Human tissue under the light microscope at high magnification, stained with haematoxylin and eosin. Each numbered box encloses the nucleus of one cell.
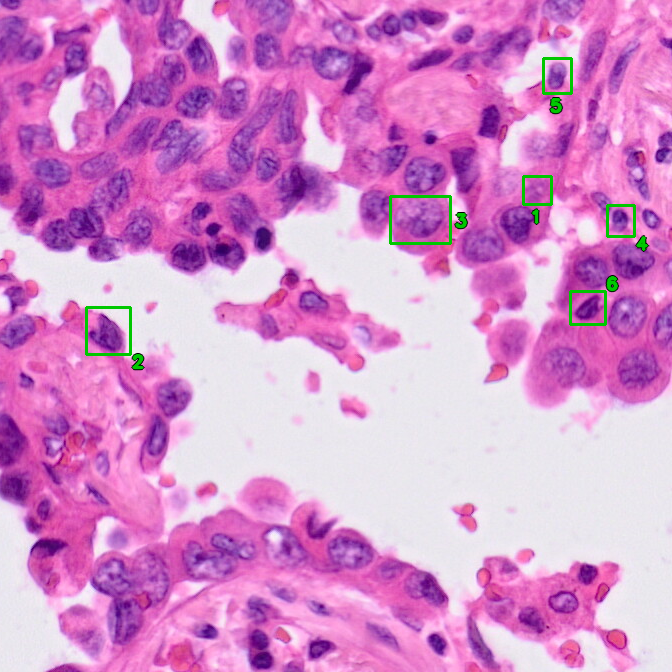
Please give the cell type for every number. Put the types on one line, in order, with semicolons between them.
carcinoma cell; carcinoma cell; carcinoma cell; lymphocyte; lymphocyte; carcinoma cell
